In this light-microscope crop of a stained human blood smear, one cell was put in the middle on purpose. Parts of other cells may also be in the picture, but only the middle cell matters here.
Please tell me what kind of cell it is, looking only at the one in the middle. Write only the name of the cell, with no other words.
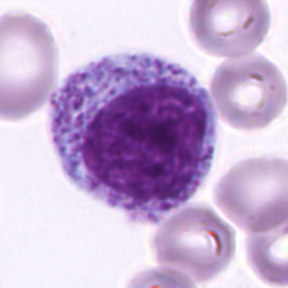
myelocyte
